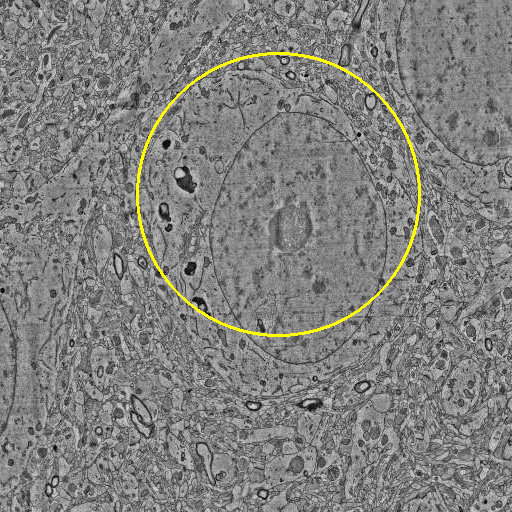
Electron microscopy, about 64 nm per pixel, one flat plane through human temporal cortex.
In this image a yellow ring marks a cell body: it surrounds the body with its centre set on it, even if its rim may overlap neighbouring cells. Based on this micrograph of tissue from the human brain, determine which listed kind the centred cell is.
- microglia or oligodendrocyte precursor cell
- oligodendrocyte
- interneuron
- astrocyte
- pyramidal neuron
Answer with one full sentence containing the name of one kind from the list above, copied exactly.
It is a pyramidal neuron whose body the yellow ring encloses at its centre.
